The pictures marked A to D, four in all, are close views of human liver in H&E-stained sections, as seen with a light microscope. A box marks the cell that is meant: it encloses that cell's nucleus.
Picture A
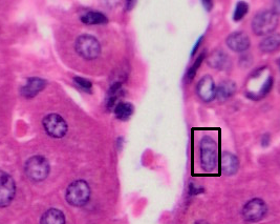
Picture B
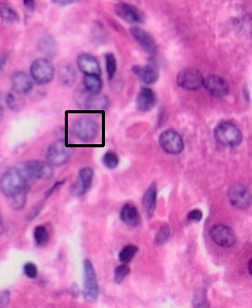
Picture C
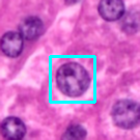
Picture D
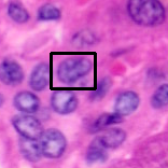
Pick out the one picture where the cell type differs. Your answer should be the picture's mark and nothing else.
C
